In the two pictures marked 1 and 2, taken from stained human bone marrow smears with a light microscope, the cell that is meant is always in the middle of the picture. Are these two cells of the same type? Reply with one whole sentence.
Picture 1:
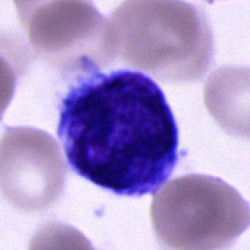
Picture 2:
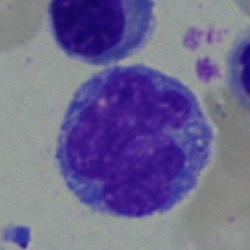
No, picture 1 shows a blast and picture 2 shows a monocyte.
